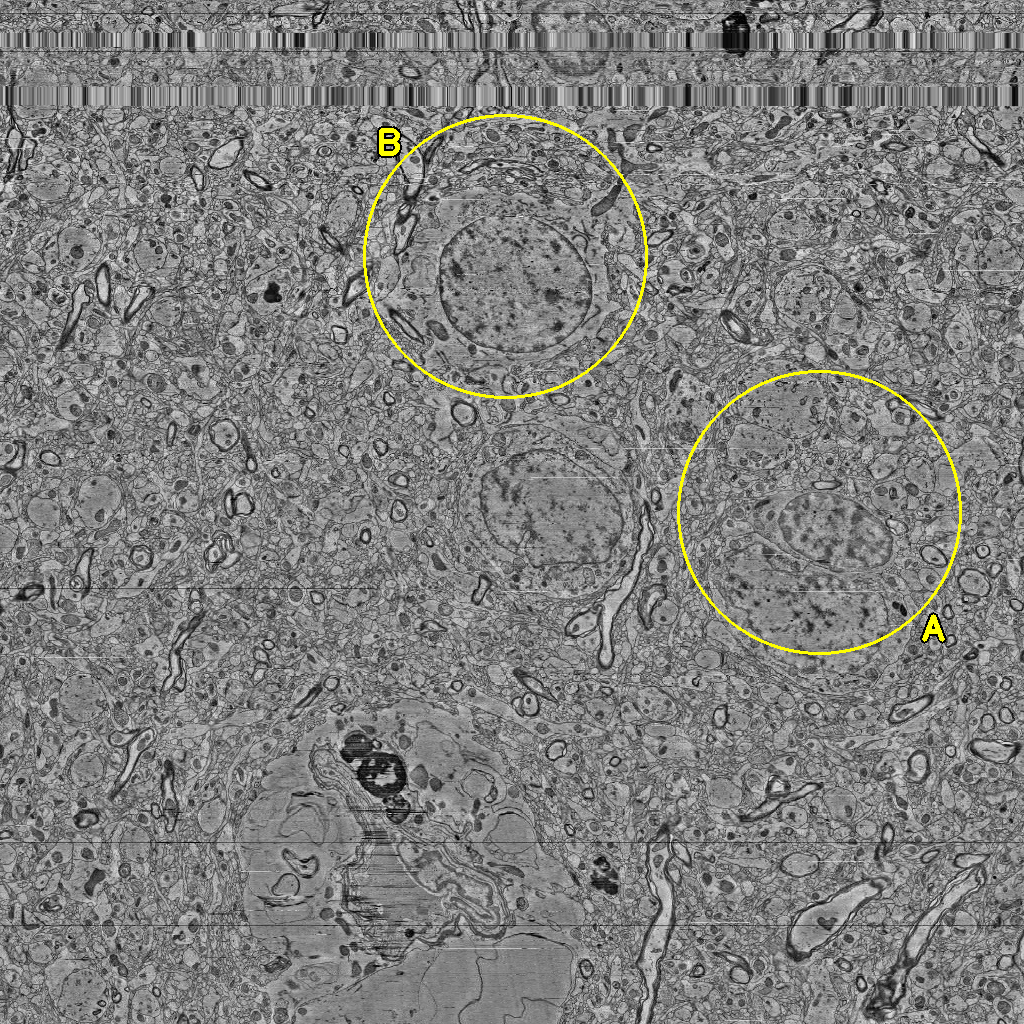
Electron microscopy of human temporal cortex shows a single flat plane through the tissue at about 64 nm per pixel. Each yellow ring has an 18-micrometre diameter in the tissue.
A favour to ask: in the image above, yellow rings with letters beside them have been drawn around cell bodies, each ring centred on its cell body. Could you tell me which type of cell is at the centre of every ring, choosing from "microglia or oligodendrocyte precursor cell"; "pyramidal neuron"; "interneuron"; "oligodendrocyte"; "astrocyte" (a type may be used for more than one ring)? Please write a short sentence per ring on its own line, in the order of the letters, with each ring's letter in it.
Ring A holds an oligodendrocyte at its centre.
Ring B holds an astrocyte at its centre.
